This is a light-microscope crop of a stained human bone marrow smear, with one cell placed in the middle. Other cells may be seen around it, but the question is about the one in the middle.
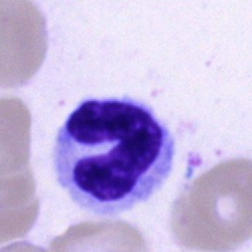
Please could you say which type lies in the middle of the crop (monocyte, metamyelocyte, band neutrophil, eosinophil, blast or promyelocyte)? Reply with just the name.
band neutrophil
